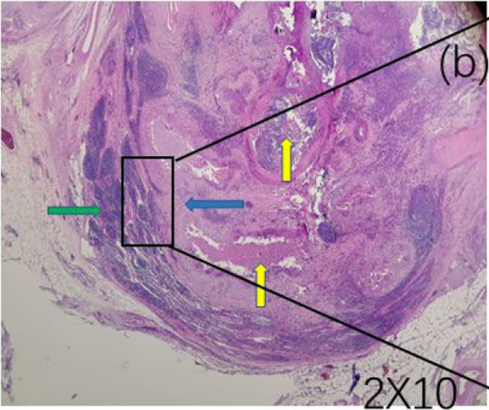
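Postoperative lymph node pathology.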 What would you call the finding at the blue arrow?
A: The reaction zone.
